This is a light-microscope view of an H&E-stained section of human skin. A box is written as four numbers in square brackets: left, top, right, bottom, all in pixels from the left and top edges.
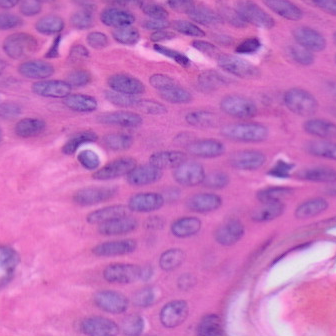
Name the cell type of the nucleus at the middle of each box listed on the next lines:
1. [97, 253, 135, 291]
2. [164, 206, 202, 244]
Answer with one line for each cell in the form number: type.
1: basal keratinocyte
2: suprabasal keratinocyte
